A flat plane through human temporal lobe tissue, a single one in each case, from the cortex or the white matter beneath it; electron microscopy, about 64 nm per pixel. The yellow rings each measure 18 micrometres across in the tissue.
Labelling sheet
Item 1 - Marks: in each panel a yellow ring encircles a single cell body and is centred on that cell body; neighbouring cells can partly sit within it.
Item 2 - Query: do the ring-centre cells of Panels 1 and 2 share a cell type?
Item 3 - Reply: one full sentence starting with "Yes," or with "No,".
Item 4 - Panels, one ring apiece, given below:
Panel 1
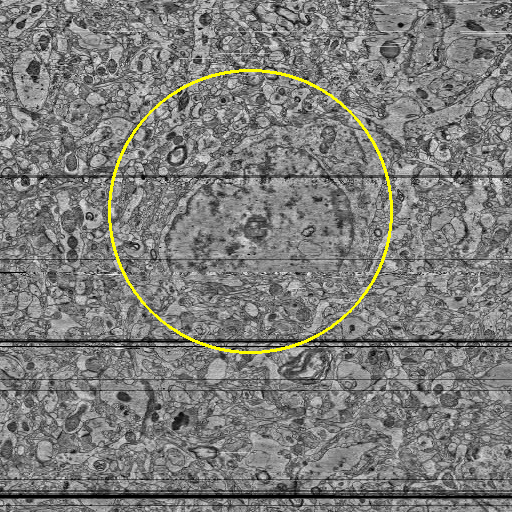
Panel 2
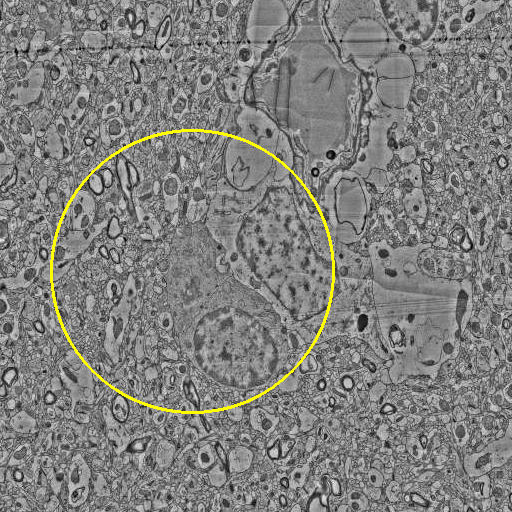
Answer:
No, Panel 1 and Panel 2 show two cell types at the centres of their rings.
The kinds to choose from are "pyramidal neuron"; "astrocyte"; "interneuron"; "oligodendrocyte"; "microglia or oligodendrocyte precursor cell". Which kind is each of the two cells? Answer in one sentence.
Of the two, the first cell is an interneuron and the second cell is an oligodendrocyte.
